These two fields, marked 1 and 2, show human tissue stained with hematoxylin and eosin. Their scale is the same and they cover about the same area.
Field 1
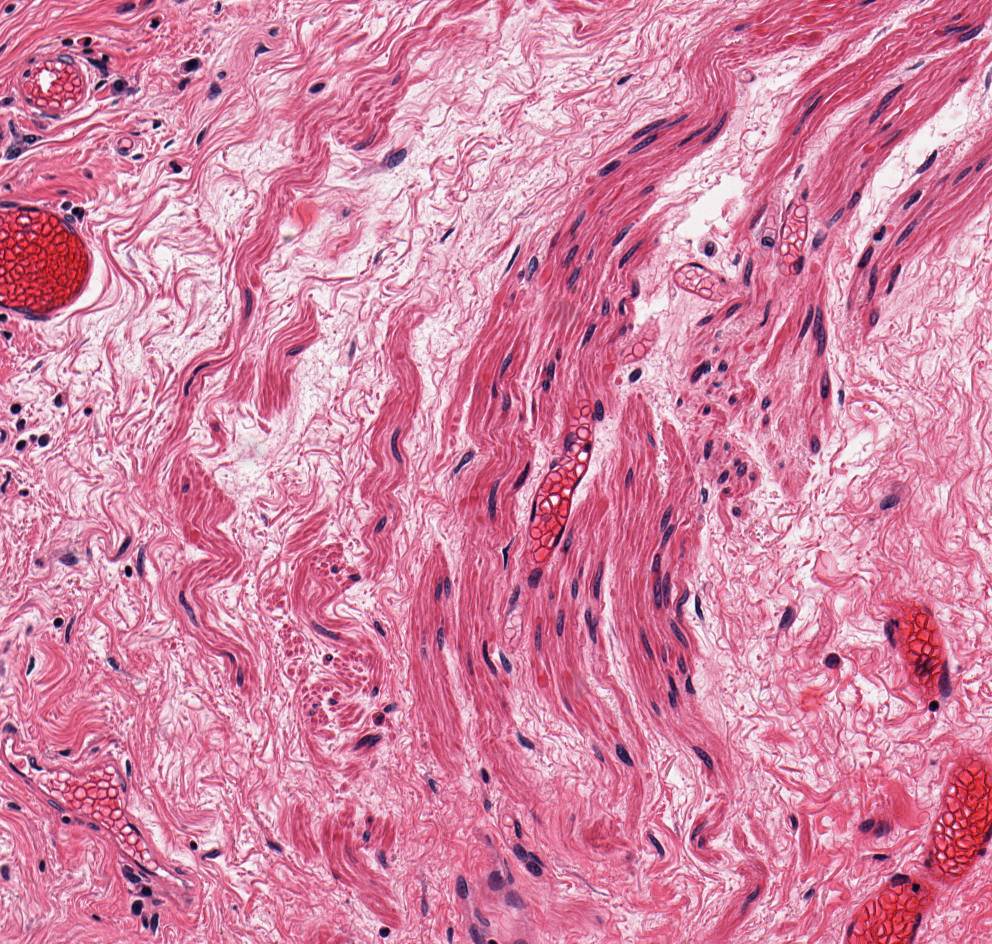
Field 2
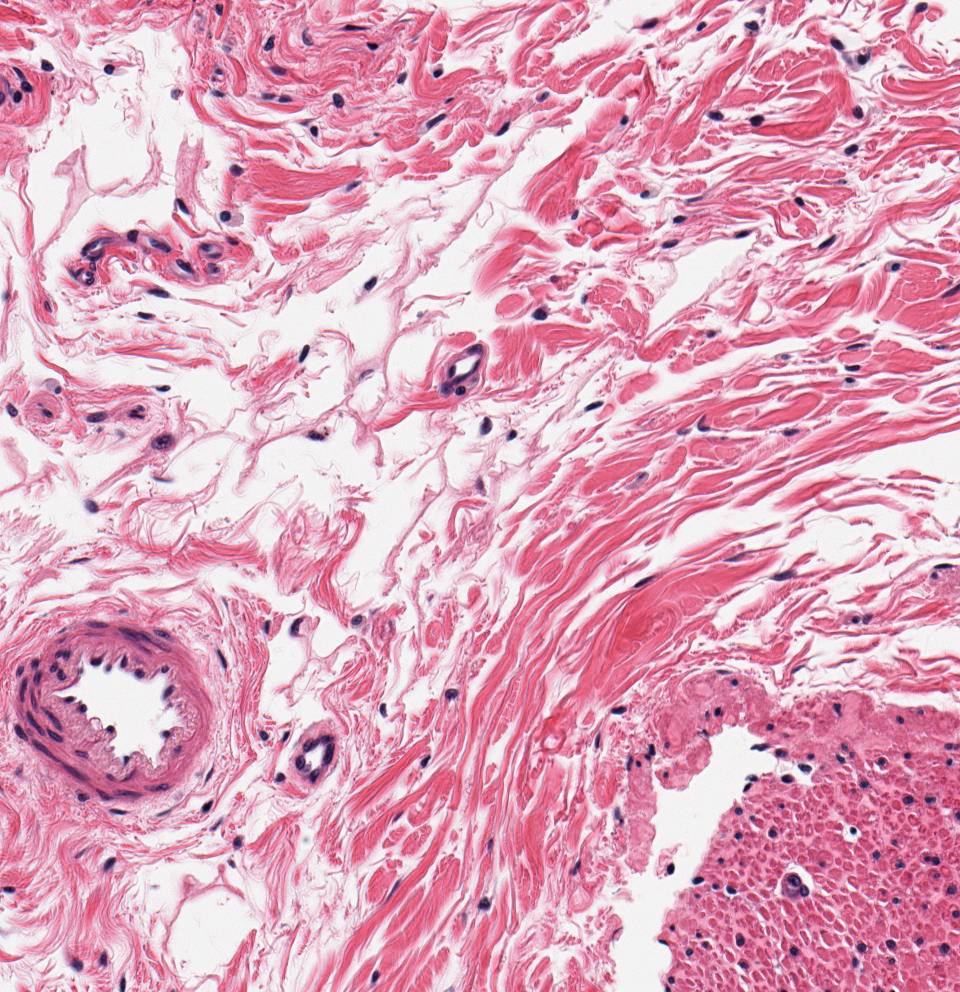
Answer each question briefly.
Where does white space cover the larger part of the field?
2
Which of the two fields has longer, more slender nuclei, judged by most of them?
1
